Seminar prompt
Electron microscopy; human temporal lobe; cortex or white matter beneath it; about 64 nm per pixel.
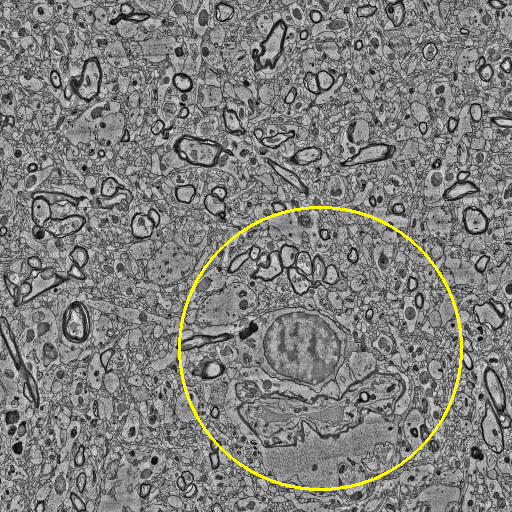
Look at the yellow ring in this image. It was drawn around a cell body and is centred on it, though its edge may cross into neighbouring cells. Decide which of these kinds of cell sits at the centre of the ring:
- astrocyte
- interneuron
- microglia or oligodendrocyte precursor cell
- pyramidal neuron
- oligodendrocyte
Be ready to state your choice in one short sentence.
The kind of cell at the ring's centre is an oligodendrocyte.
